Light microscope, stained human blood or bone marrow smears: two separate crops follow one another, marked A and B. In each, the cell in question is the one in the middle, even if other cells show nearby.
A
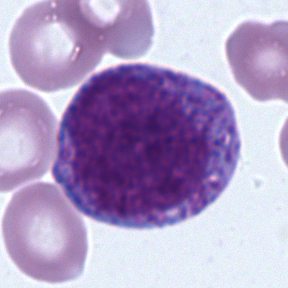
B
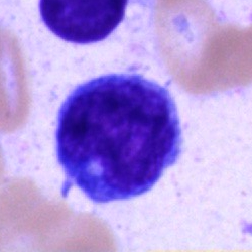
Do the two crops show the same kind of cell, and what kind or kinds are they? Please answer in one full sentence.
No, a promyelocyte is the cell in crop A; a blast is the cell in crop B.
